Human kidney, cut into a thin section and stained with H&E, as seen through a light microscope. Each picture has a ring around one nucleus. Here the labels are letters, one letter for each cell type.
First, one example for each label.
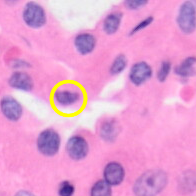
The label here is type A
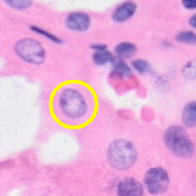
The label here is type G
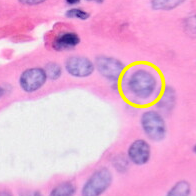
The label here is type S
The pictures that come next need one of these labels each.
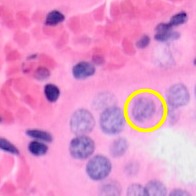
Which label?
type S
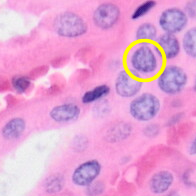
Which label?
type S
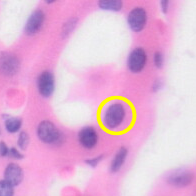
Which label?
type A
